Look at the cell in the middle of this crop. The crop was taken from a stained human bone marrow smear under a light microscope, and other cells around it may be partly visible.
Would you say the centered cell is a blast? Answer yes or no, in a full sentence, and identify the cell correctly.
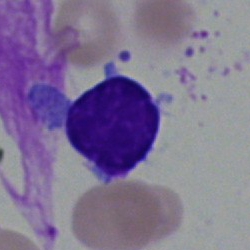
No, the correct answer for the middle cell is a lymphocyte, not a blast.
